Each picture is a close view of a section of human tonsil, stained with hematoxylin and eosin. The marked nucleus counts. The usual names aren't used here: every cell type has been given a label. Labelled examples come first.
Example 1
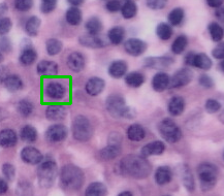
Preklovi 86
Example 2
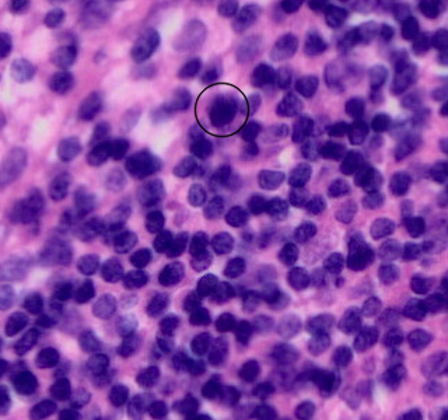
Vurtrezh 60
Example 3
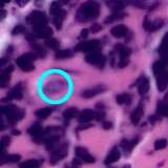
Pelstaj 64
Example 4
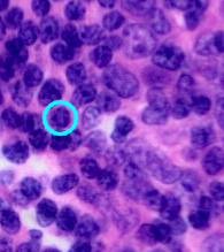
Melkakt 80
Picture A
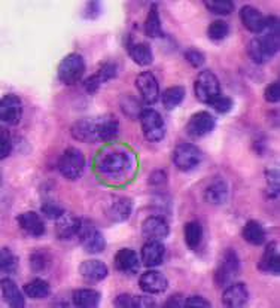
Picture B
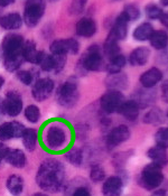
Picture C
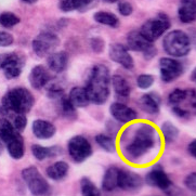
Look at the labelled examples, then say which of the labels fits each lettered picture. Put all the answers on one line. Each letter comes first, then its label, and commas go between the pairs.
A Preklovi 86, B Pelstaj 64, C Vurtrezh 60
